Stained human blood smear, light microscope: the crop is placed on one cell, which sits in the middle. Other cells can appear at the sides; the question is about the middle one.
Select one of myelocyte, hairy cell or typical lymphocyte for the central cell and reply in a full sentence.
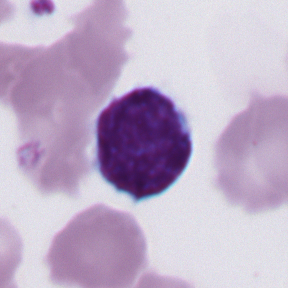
The single cell at the center of the crop is a typical lymphocyte.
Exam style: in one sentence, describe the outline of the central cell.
Thanks for asking; the cell edge is smooth and has no projections.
